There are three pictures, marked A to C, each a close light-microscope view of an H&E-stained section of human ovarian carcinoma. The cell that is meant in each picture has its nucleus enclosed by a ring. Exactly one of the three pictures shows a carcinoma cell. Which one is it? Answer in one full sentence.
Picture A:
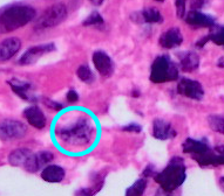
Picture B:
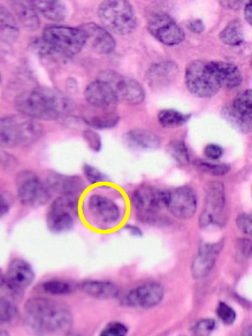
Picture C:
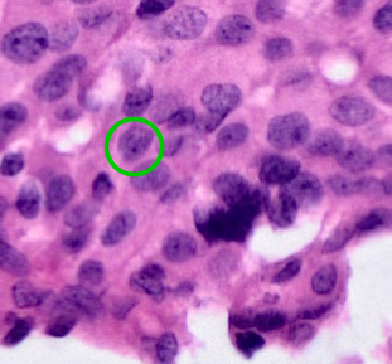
The cell in picture C is the carcinoma cell.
